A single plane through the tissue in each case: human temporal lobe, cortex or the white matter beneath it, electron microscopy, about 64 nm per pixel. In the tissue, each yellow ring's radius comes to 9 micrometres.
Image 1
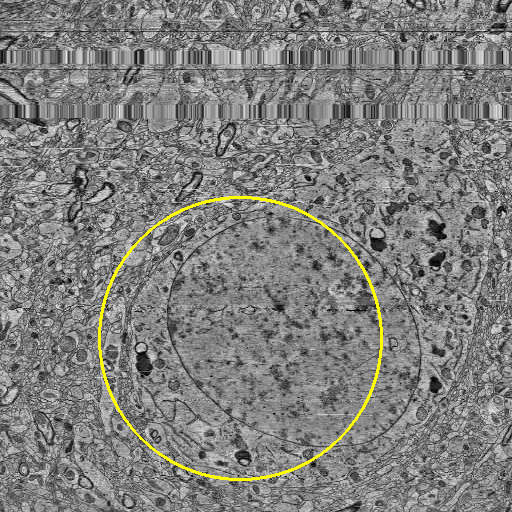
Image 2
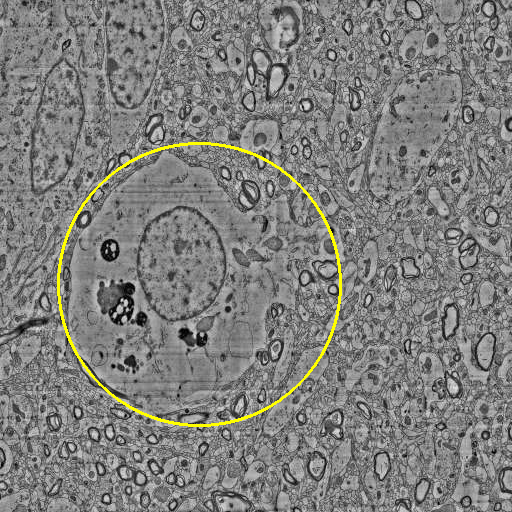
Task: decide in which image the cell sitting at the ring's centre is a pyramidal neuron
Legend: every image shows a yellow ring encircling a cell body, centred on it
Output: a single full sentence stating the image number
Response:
In image 1, the cell at the middle of the ring is the match.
